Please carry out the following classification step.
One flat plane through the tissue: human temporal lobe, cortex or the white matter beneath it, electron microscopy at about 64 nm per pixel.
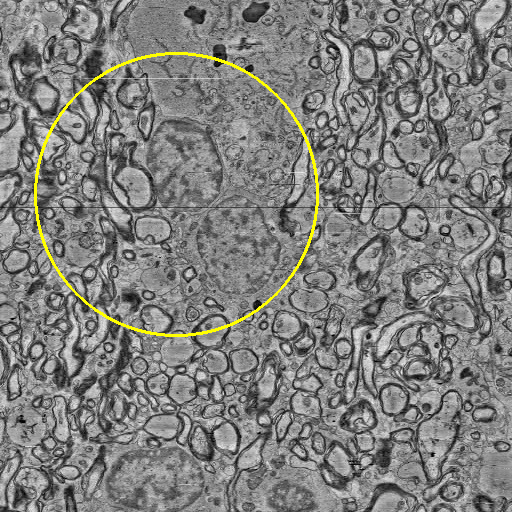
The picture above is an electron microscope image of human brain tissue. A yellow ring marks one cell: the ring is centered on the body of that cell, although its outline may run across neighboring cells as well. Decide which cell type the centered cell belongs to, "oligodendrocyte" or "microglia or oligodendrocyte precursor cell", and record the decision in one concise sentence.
The cell centered in the yellow ring is an oligodendrocyte.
